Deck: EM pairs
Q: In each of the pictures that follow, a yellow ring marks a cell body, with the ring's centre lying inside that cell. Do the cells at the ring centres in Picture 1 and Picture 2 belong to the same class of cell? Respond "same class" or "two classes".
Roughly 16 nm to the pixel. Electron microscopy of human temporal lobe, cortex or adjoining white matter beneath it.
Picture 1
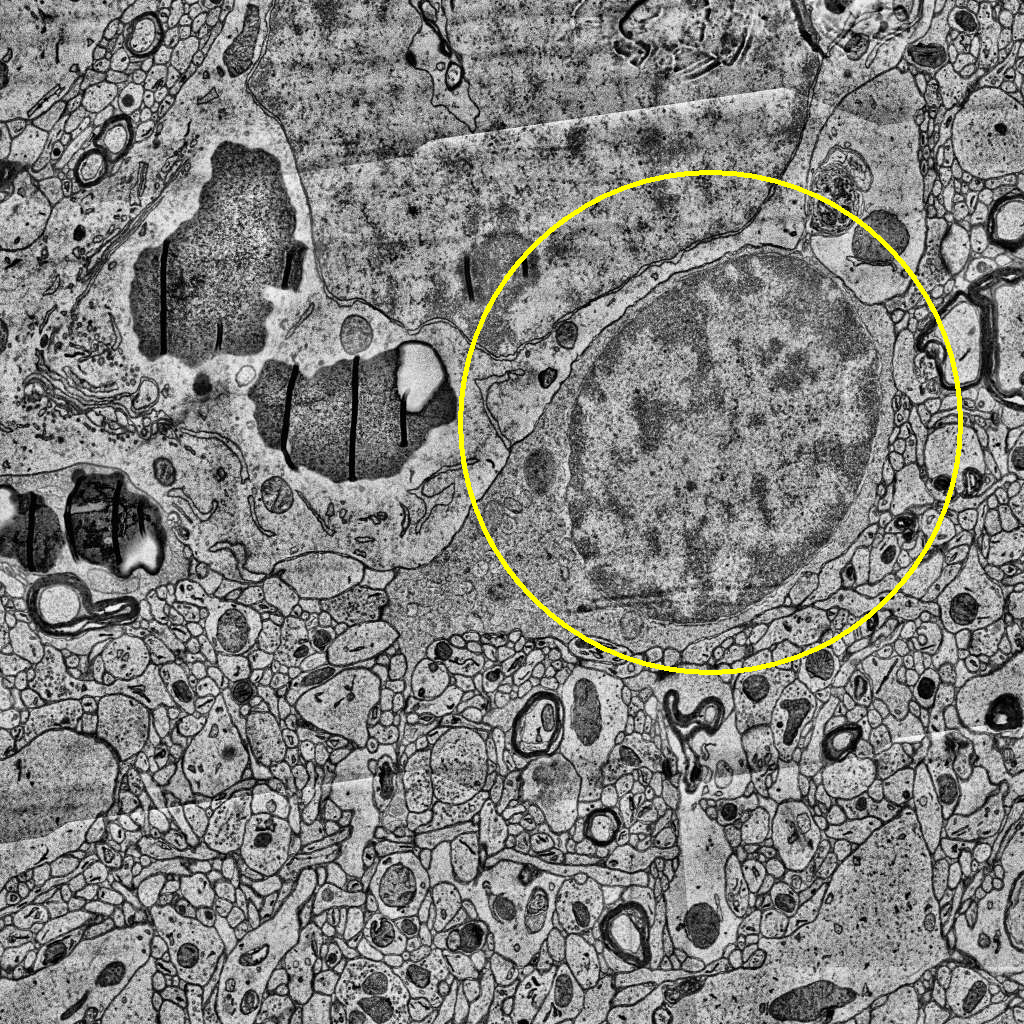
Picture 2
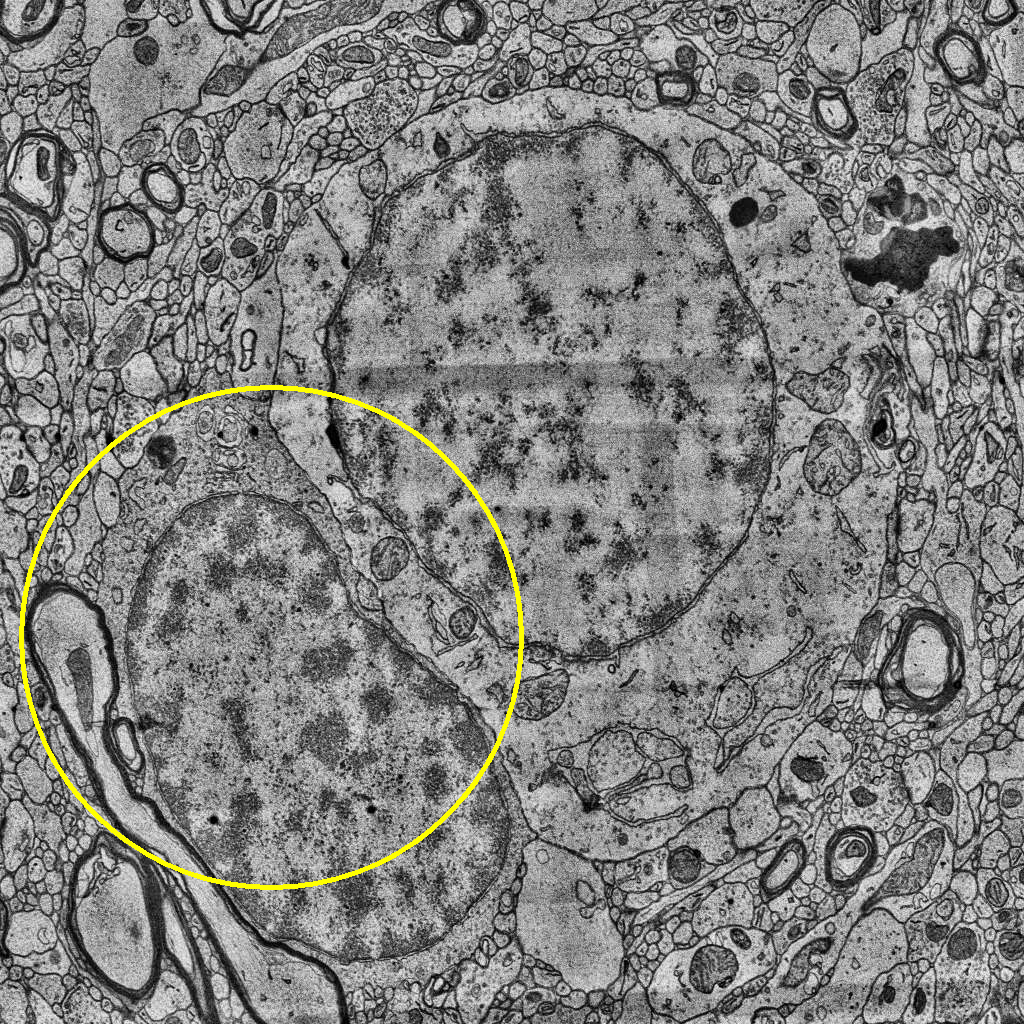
same class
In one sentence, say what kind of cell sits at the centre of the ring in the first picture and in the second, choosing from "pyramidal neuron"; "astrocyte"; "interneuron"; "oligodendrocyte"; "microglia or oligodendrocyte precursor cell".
Each of the two pictures has an oligodendrocyte at the ring centre.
